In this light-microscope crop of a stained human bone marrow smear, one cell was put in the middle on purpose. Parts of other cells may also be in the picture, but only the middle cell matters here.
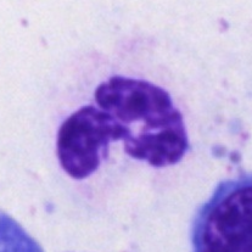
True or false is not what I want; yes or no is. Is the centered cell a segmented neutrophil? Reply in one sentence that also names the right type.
Yes, at the centre of the crop lies a segmented neutrophil.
